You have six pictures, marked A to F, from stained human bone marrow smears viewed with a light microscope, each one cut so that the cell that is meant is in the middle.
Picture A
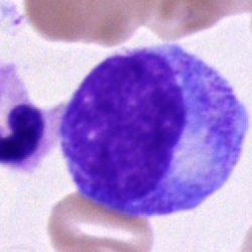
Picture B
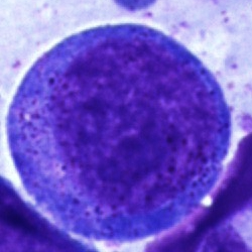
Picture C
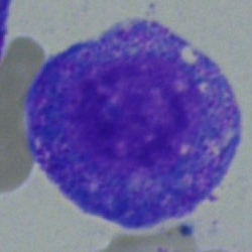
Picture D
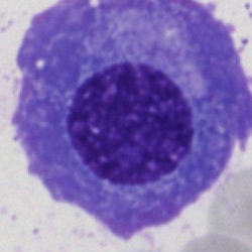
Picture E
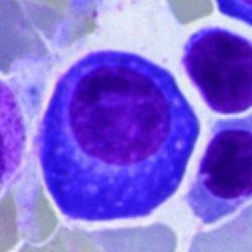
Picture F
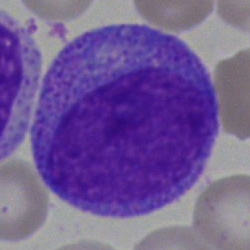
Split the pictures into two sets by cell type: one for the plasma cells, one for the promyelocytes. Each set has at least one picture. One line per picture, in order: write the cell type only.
promyelocyte
promyelocyte
promyelocyte
plasma cell
plasma cell
promyelocyte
